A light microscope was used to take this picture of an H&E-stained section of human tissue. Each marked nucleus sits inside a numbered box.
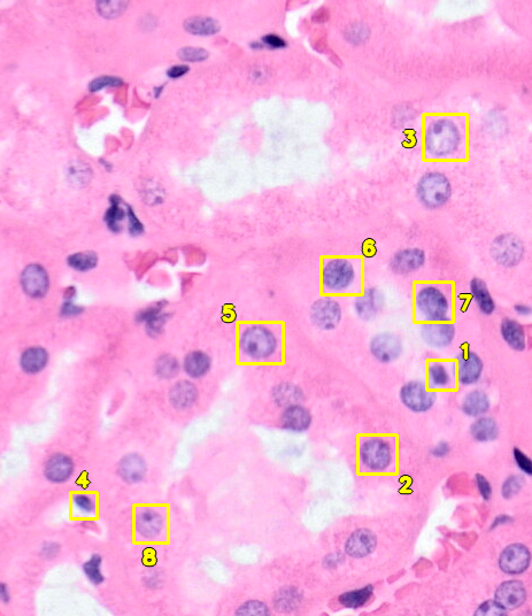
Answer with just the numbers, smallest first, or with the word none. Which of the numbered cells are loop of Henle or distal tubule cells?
1, 6, 7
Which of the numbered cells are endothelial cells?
4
